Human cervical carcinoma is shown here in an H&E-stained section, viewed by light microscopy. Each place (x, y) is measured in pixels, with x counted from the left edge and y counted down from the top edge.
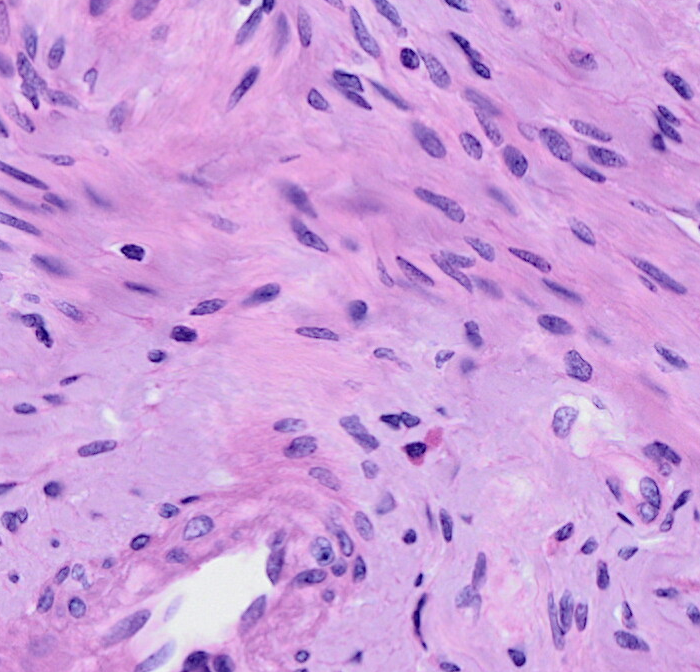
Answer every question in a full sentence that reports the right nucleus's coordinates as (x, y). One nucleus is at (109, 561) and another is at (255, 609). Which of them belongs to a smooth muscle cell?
The cell to which the nucleus at (109, 561) belongs is a smooth muscle cell.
